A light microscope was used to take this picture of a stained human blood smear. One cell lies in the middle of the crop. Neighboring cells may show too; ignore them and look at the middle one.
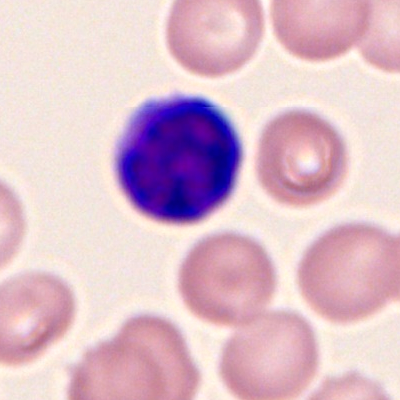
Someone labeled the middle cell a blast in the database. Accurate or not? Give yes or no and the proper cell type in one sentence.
No, this is not a blast at all; the cell in the middle is a lymphocyte.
